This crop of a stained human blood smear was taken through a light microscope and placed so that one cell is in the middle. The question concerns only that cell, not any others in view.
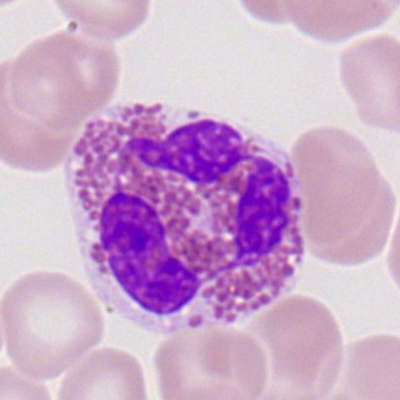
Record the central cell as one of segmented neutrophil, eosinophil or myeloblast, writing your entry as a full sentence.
The cell featured at the centre of this crop is an eosinophil.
